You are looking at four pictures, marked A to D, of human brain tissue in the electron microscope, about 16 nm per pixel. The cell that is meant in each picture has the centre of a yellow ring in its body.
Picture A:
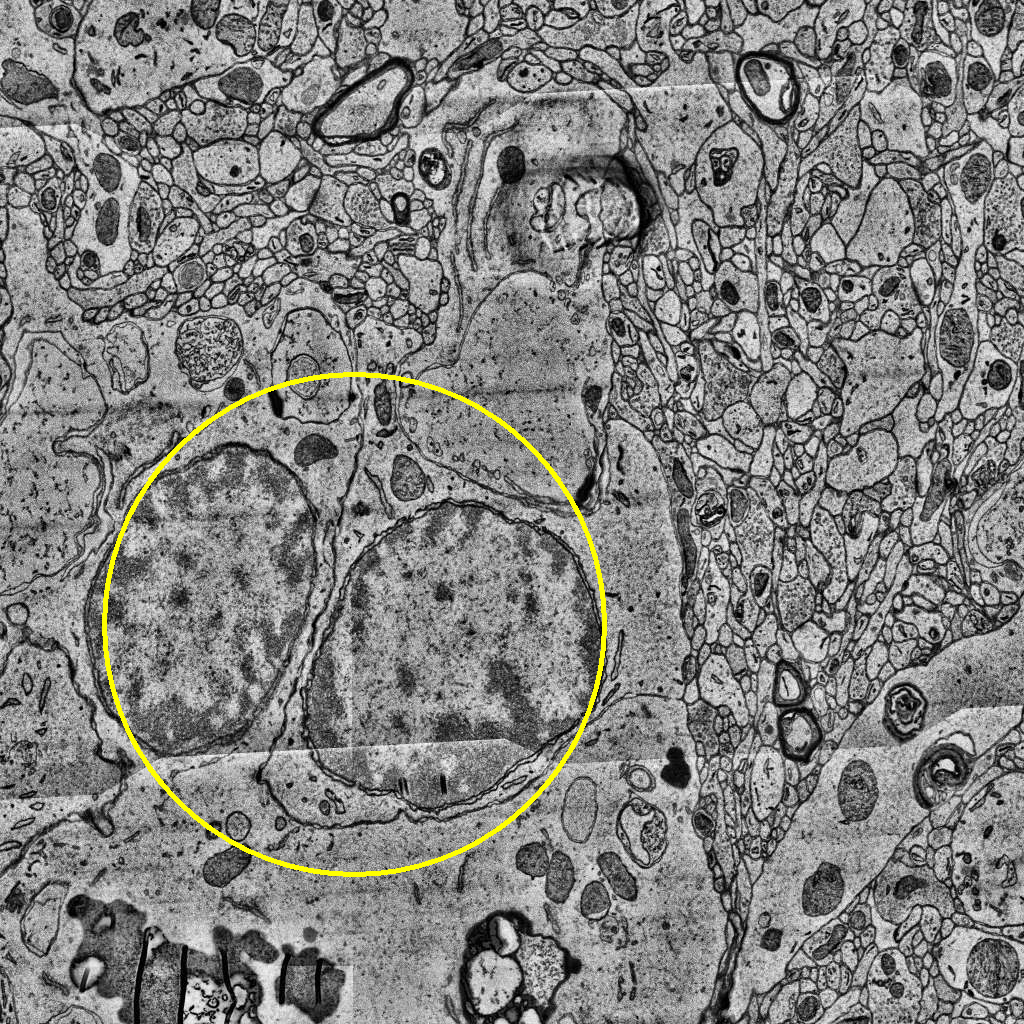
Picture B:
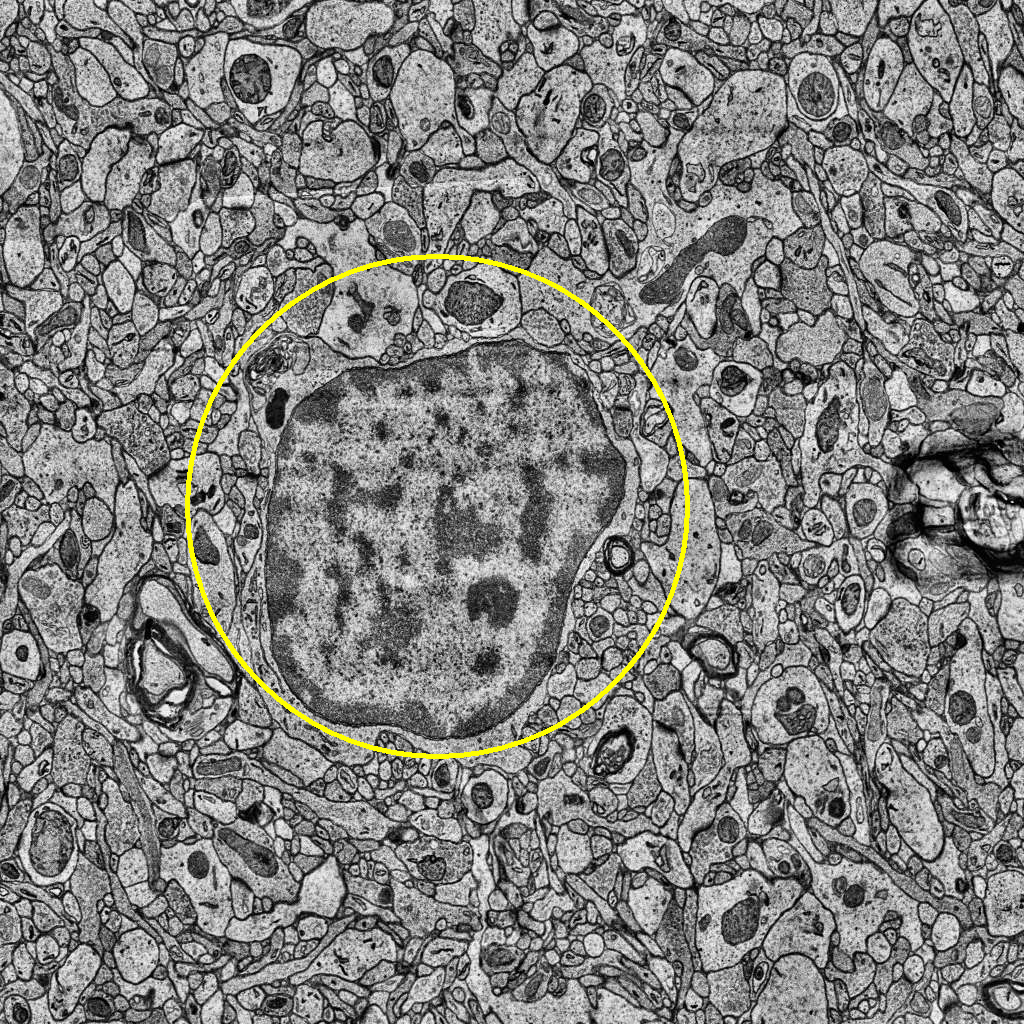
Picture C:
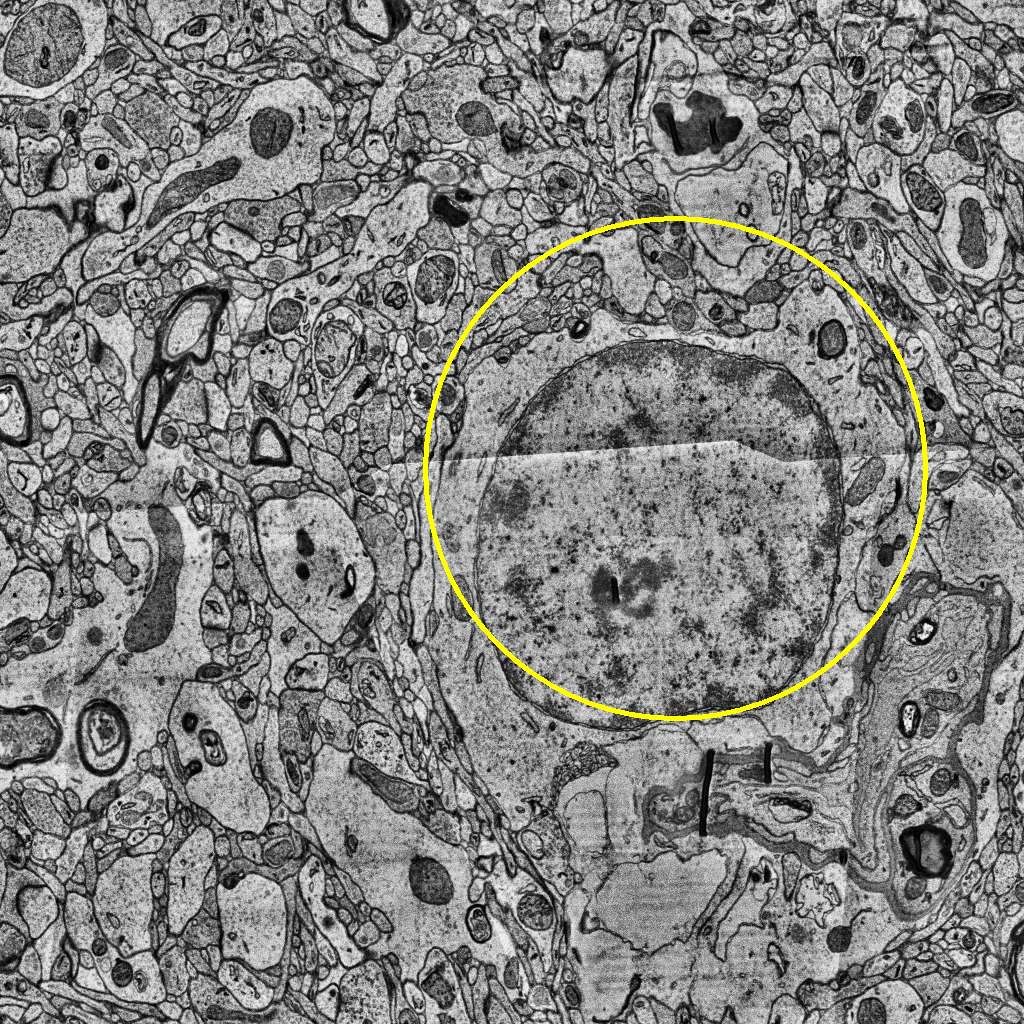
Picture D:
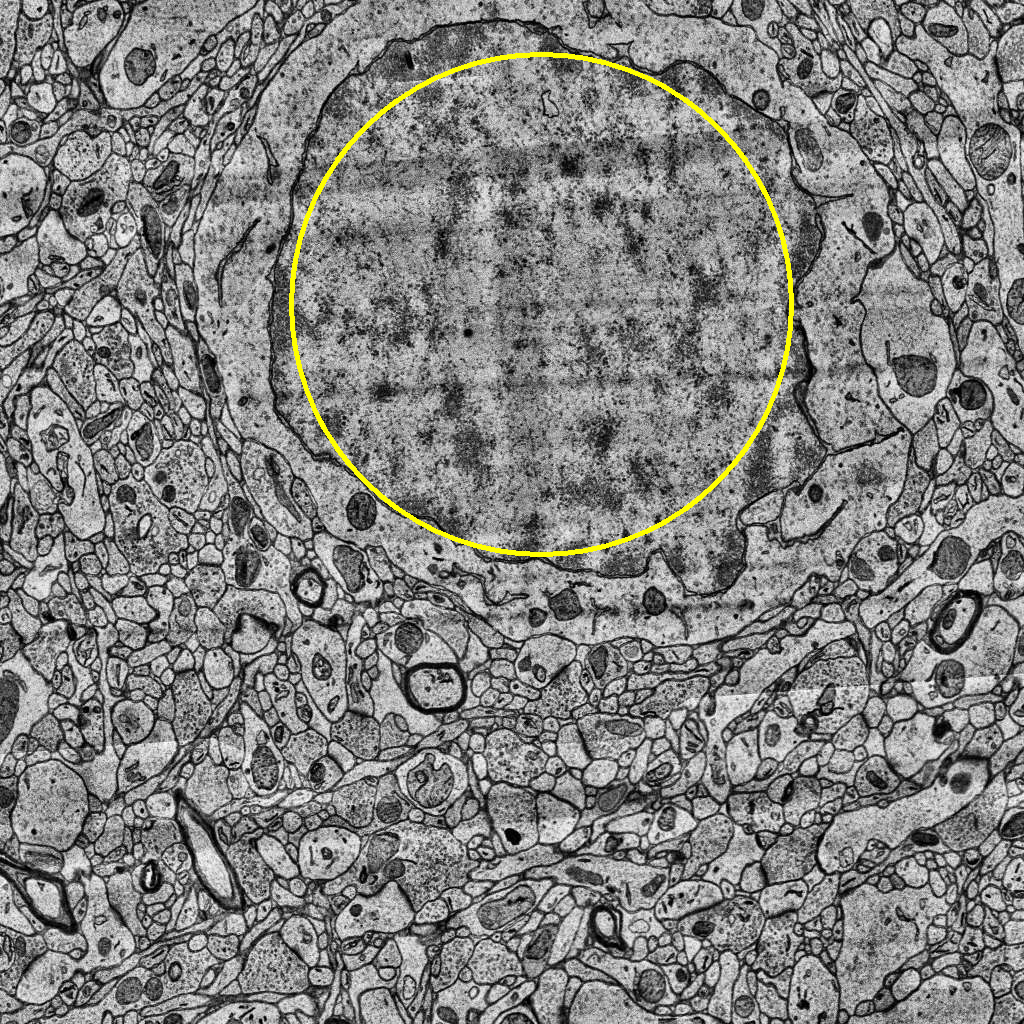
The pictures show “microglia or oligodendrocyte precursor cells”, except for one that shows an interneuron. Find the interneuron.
Picture D is the one that shows the interneuron.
